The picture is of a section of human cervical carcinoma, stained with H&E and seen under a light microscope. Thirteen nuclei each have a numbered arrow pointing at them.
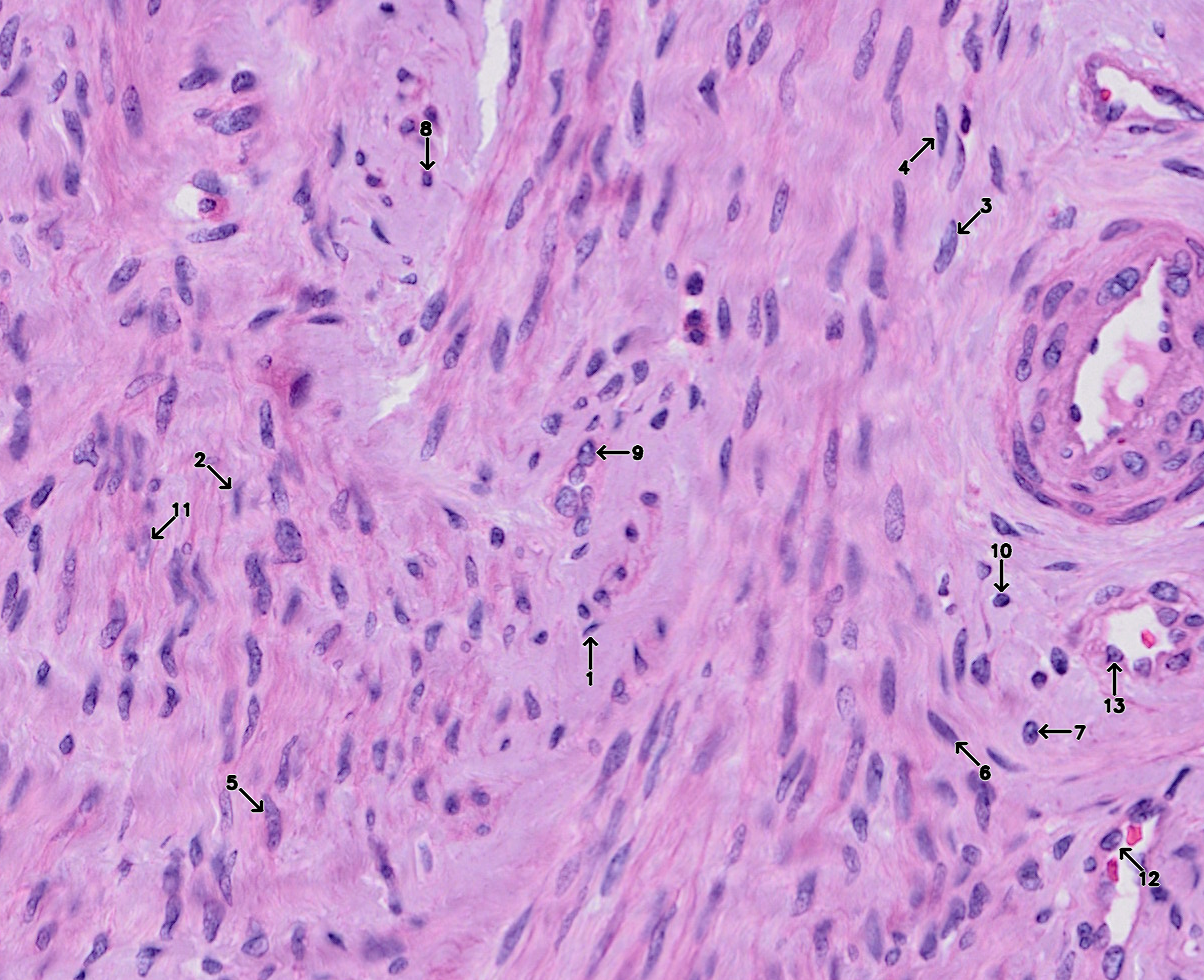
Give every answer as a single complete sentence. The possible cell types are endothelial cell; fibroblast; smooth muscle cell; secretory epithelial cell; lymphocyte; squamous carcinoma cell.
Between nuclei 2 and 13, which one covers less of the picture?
The smaller nucleus is 13, and 2 covers roughly 1.5 times its area.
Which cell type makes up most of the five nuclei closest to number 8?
Smooth muscle cells account for more than half of the five nuclei nearest to number 8.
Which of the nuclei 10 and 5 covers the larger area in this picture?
Nucleus 5 is larger, with an area about 4 times that of nucleus 10.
